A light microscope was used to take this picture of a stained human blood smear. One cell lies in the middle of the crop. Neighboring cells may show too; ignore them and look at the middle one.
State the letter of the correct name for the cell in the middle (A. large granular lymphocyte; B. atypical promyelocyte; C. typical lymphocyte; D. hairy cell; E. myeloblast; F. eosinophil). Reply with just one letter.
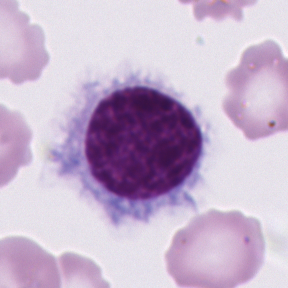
D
